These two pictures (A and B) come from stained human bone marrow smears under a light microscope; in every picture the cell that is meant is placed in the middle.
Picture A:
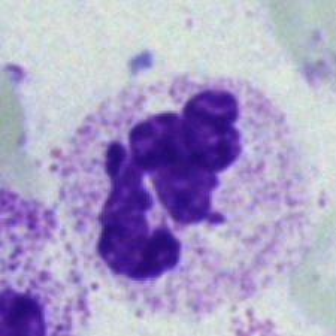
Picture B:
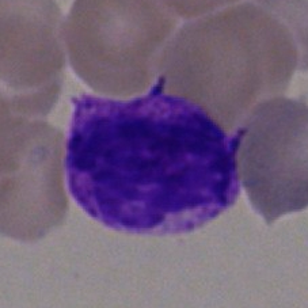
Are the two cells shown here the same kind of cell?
no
